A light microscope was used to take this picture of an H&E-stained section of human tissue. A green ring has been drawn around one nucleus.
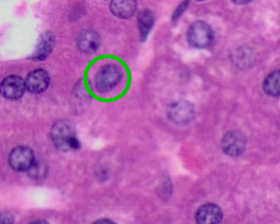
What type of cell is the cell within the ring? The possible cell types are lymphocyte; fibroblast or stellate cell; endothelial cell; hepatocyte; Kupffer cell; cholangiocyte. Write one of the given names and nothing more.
cholangiocyte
